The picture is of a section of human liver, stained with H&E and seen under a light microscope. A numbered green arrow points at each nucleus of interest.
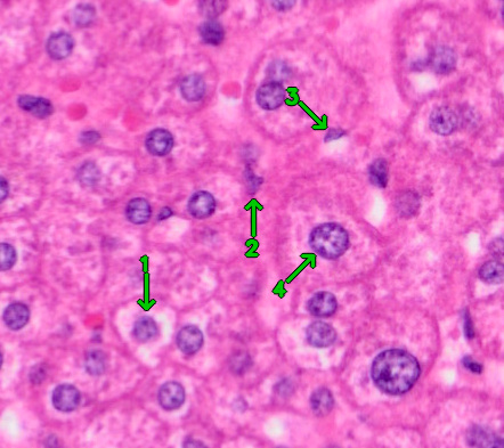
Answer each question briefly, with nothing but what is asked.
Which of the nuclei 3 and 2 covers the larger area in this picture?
2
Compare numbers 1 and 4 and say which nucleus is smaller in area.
1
